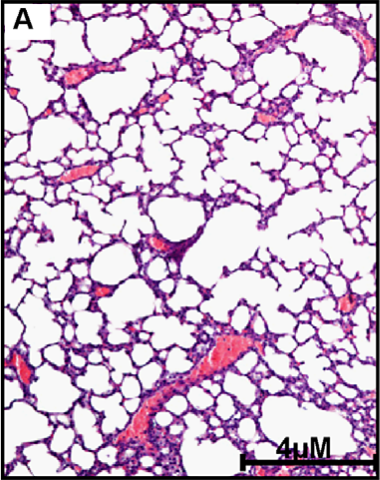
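Healthy lung tissue with open alveolar air spaces. The alveoli are empty and separated by thin, delicate septa lined by scattered purple nuclei. Several blood vessels, filled with pink red blood cells, run between the air spaces. Larger open spaces correspond to alveolar ducts. No dense clusters of cells fill the air spaces.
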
